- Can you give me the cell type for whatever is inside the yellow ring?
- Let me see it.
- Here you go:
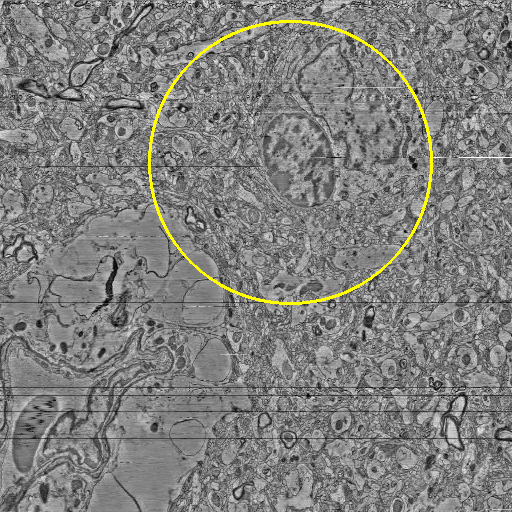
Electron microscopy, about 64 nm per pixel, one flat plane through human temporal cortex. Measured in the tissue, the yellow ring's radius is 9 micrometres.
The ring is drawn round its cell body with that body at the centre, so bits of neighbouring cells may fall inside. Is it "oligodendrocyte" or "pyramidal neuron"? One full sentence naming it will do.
The cell body in the middle of the ring in this picture belongs to an oligodendrocyte.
